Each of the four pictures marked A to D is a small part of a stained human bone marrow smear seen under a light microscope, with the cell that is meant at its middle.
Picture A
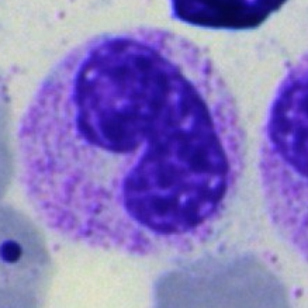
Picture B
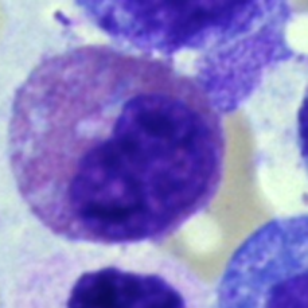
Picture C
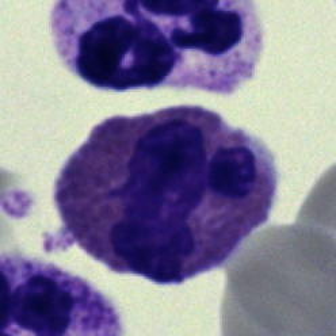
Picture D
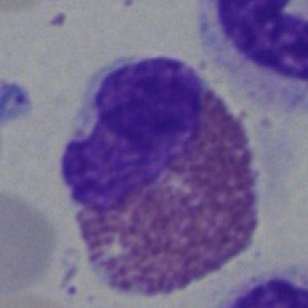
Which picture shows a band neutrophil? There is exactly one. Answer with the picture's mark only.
A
